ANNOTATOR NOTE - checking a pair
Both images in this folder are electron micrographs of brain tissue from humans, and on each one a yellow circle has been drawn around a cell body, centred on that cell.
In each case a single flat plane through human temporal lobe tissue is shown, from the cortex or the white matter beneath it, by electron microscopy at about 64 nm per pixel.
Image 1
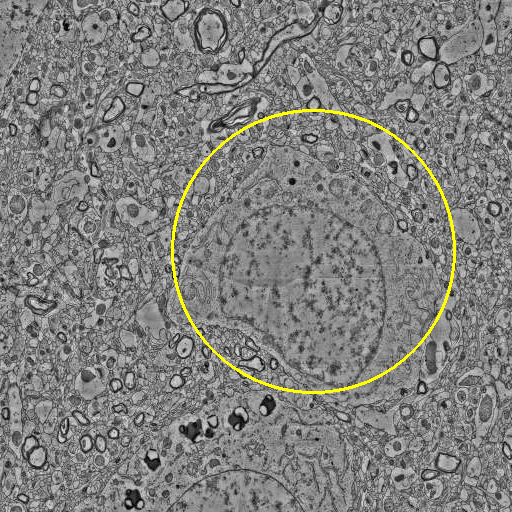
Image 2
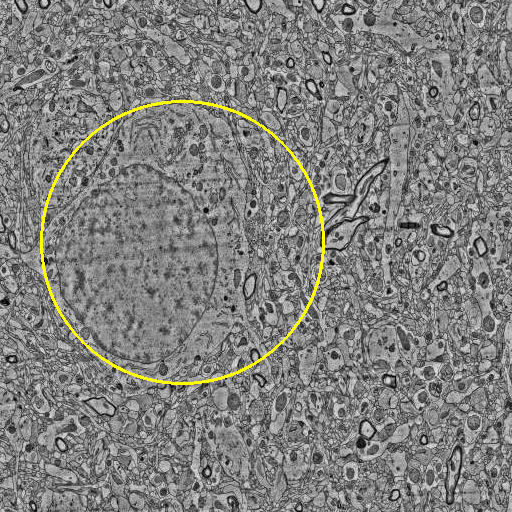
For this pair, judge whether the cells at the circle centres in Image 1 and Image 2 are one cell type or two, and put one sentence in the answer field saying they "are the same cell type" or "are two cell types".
For this pair, the cells at the circle centres in Images 1 and 2 are the same cell type.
